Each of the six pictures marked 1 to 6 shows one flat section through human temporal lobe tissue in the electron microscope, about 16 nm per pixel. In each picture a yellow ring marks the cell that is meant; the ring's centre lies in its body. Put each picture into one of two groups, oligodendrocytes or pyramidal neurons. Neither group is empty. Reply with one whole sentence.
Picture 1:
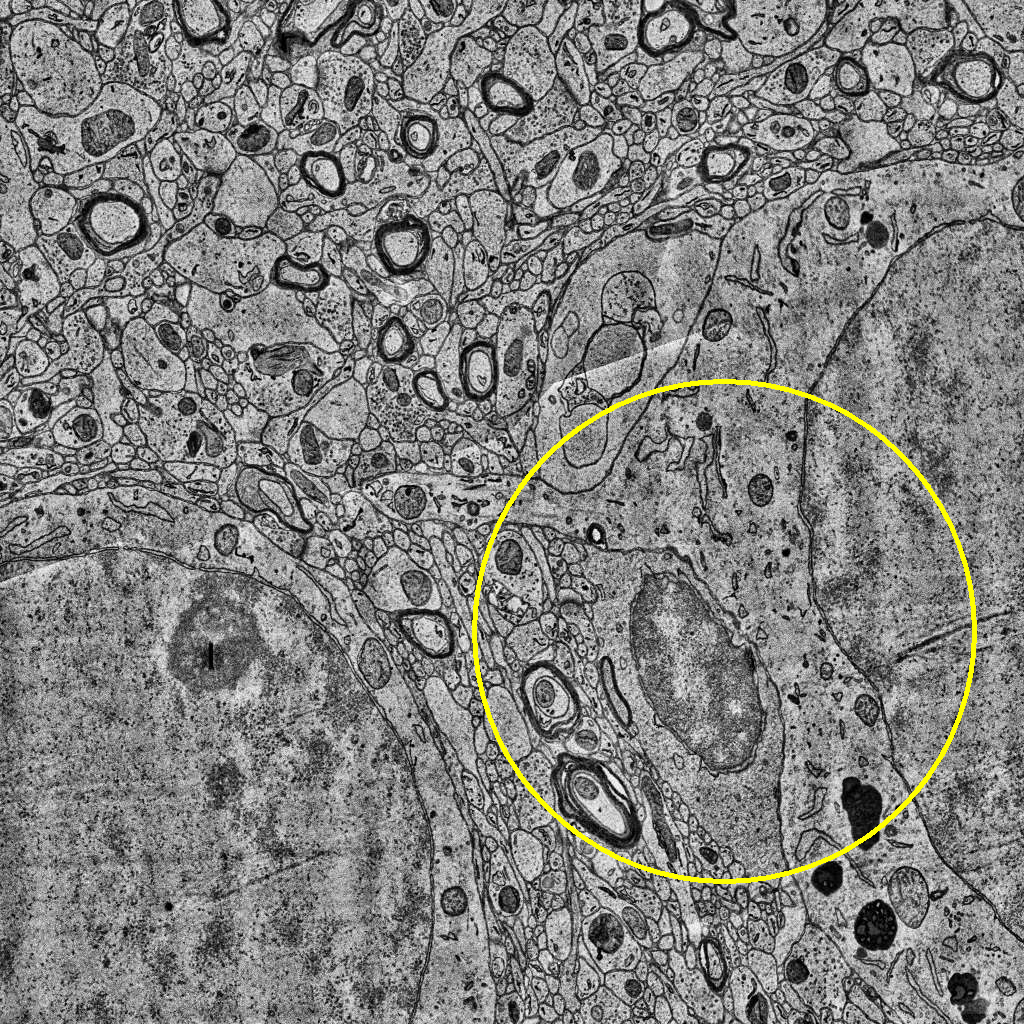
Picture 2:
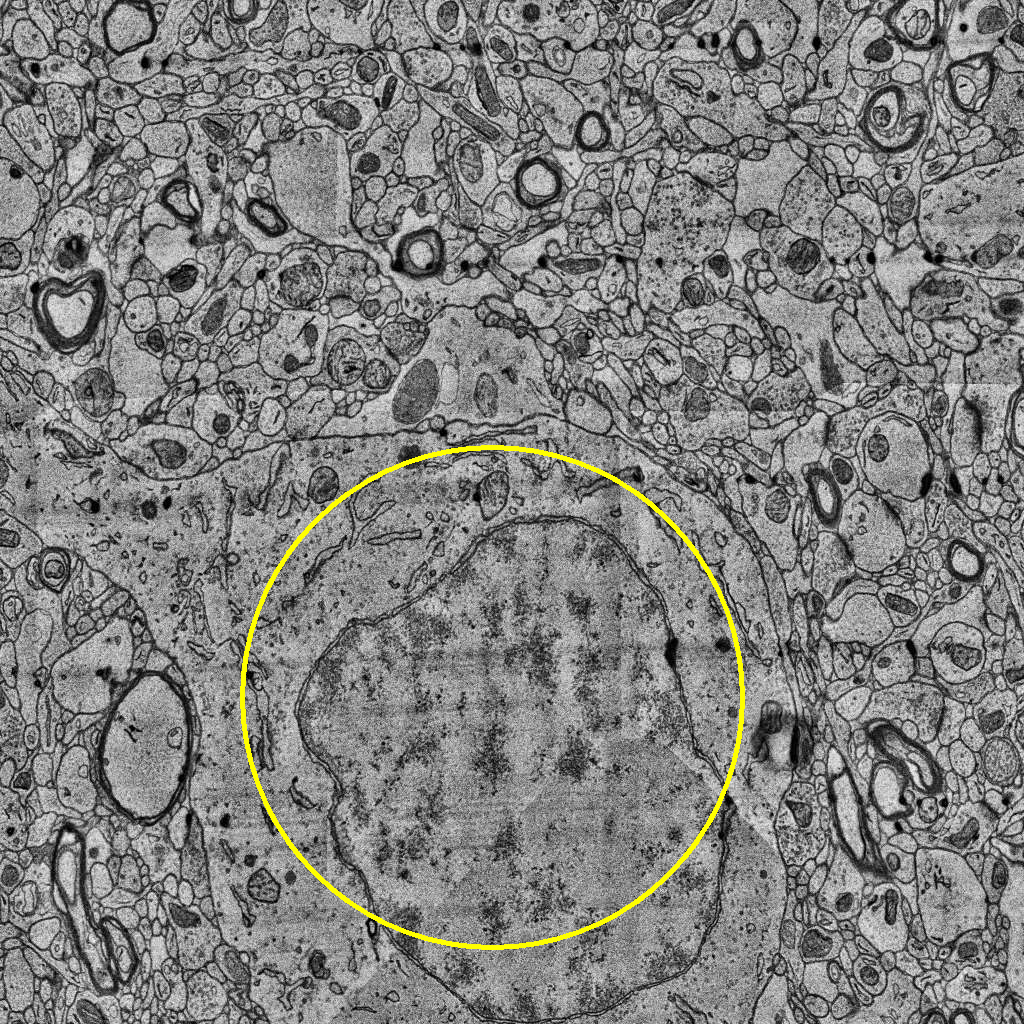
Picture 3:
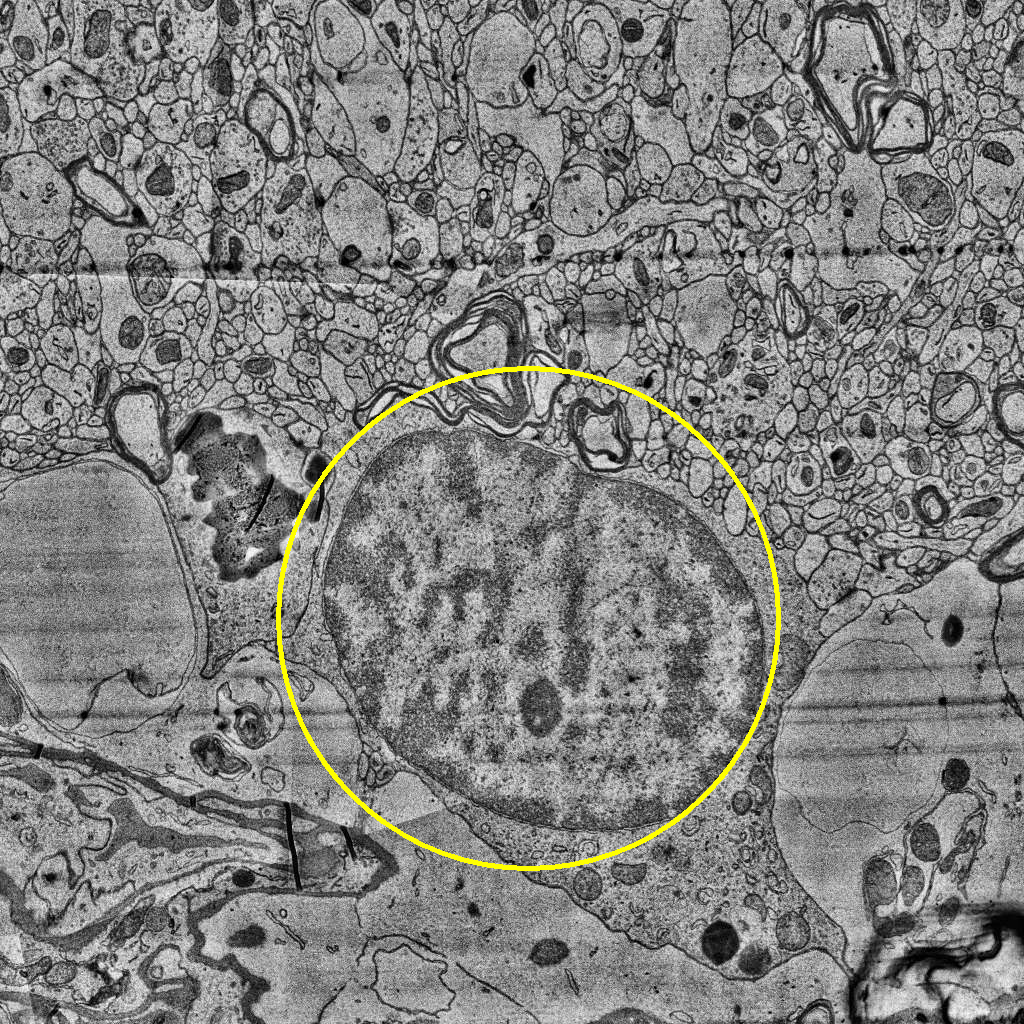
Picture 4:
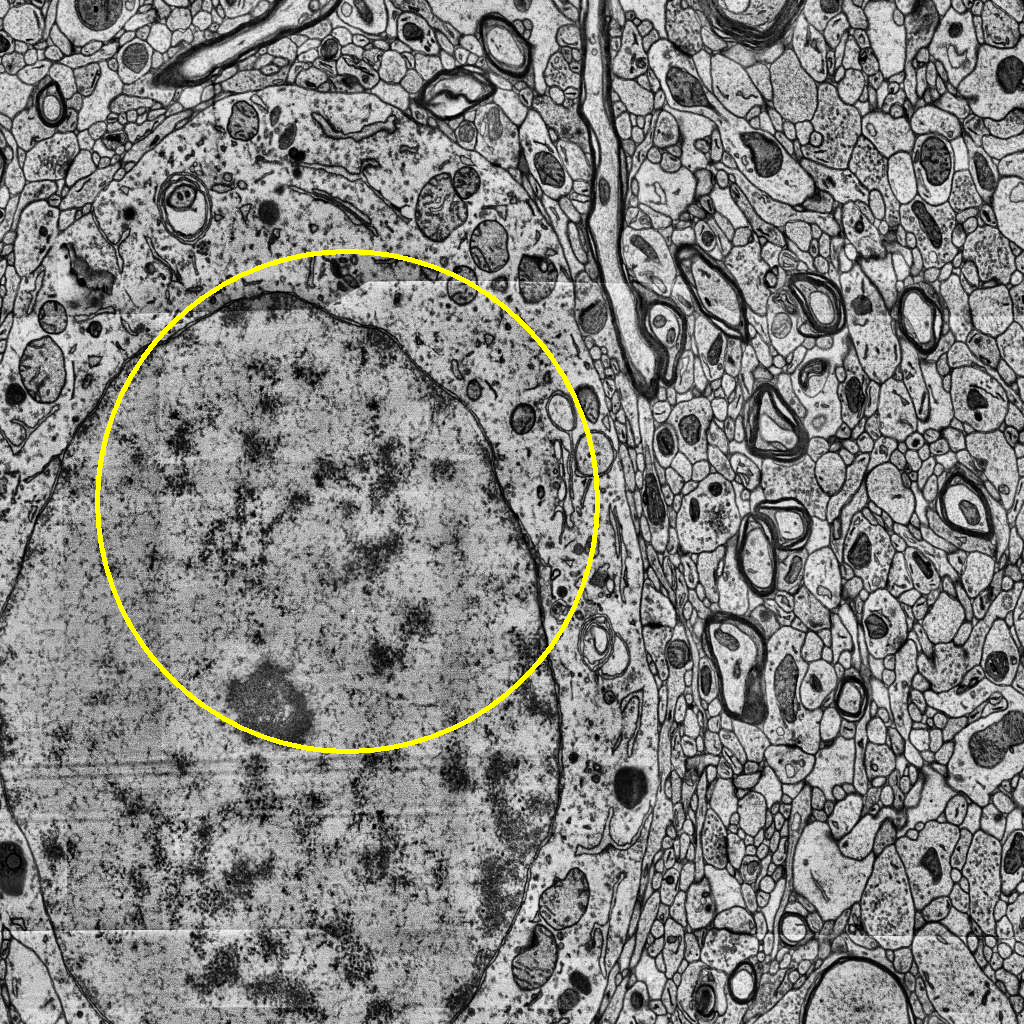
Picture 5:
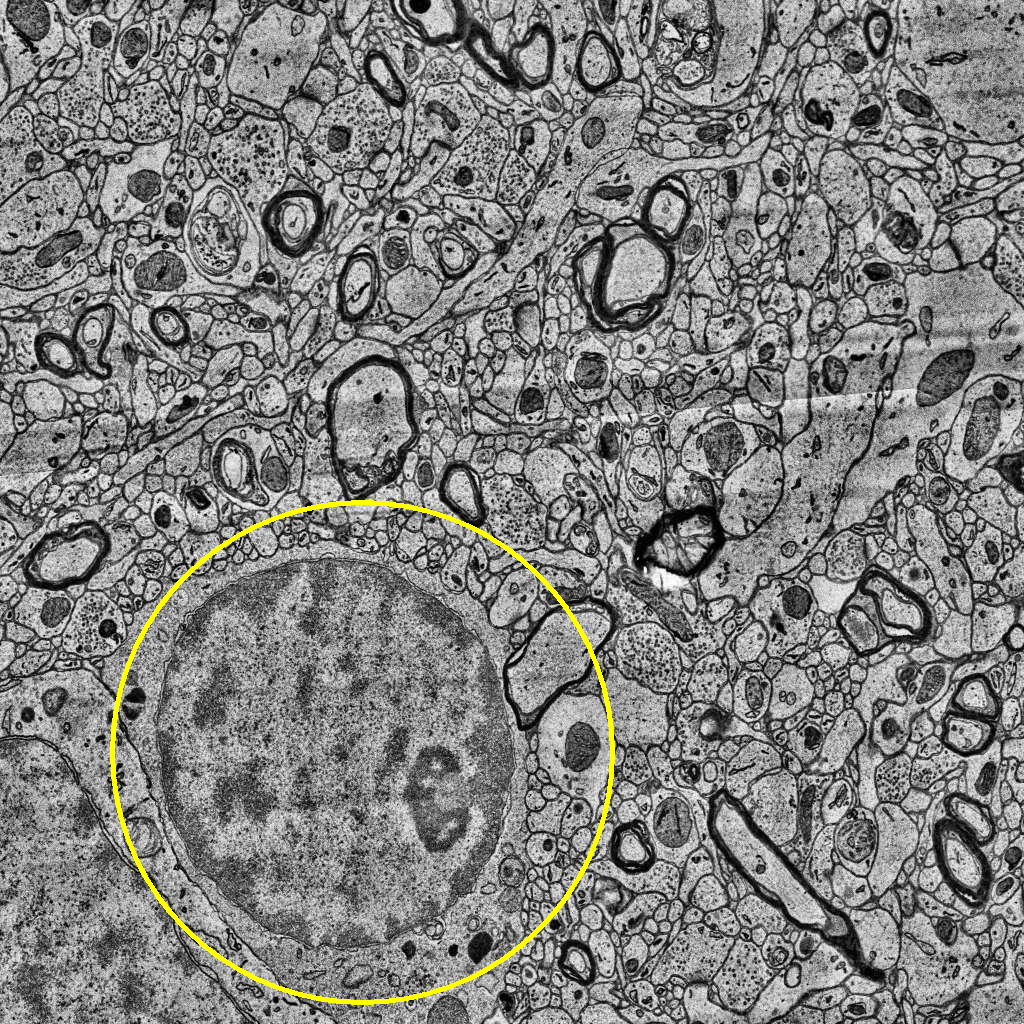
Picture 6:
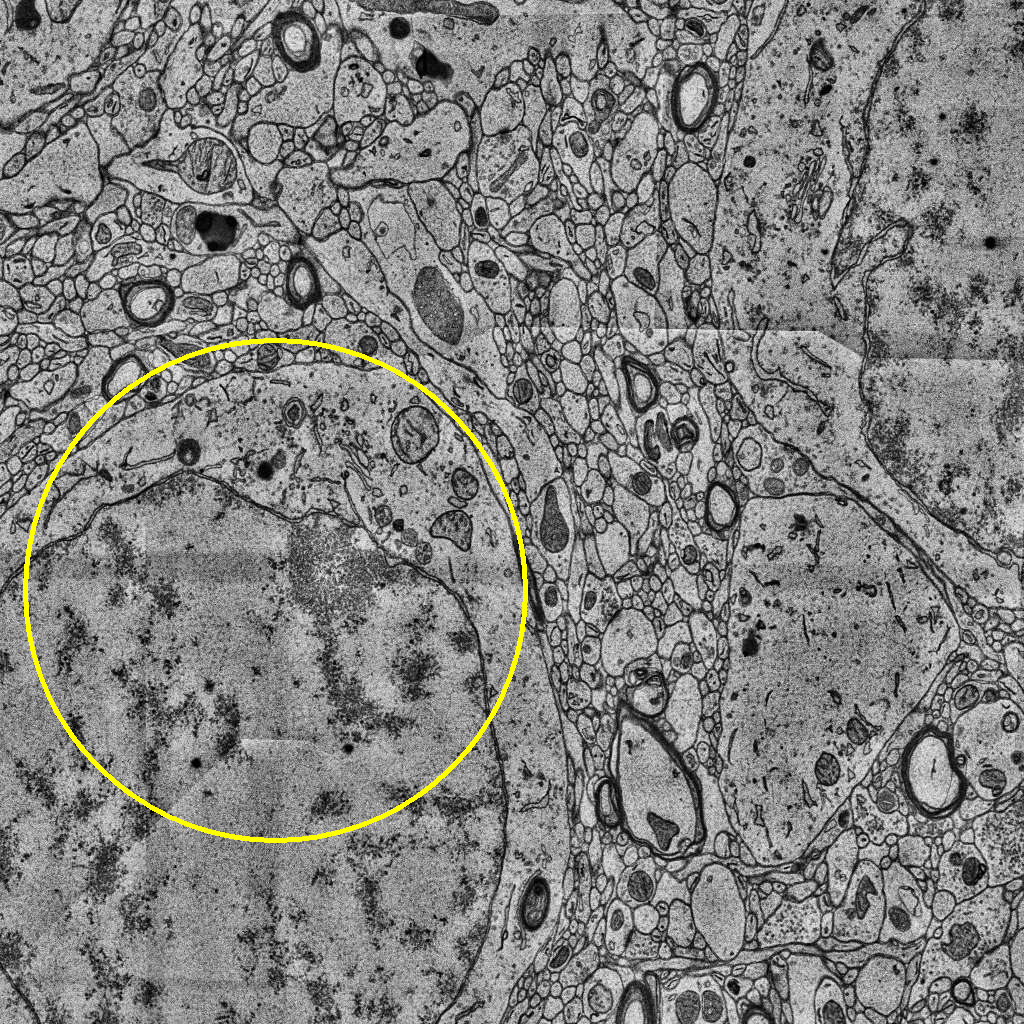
Pictures 1, 3 and 5 show oligodendrocytes; pictures 2, 4 and 6 show pyramidal neurons.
